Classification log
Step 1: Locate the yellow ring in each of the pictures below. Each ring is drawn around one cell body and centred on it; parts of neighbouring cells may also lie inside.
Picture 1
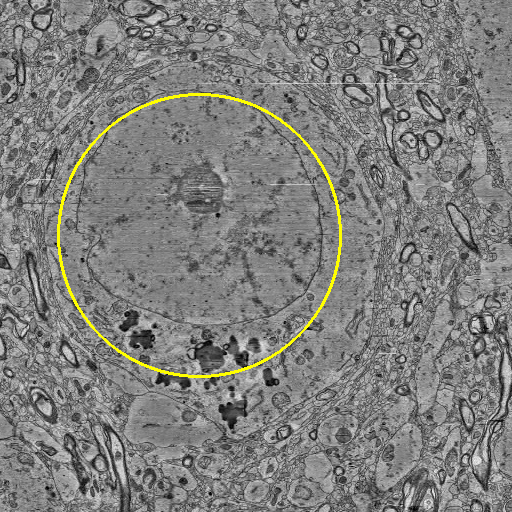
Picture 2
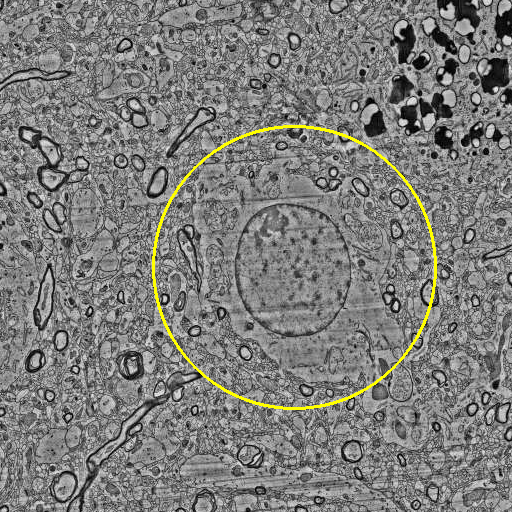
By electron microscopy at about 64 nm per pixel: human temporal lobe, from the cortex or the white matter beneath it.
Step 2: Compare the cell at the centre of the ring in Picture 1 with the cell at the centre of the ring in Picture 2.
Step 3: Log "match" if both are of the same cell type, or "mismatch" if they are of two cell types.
mismatch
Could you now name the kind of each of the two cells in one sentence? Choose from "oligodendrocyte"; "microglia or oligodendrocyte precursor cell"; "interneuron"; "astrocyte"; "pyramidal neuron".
The first ring encloses a pyramidal neuron; the second ring encloses an astrocyte.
